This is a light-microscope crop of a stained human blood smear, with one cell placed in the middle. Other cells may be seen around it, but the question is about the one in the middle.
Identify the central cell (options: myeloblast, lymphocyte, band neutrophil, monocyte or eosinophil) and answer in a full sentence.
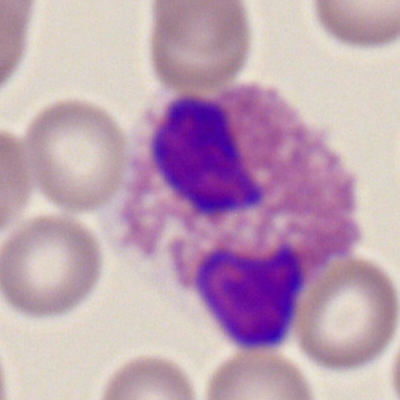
Among the cells in view, the one in the middle is an eosinophil.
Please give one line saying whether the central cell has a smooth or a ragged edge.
Ragged or projecting, the border of this cell departs from a smooth contour.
